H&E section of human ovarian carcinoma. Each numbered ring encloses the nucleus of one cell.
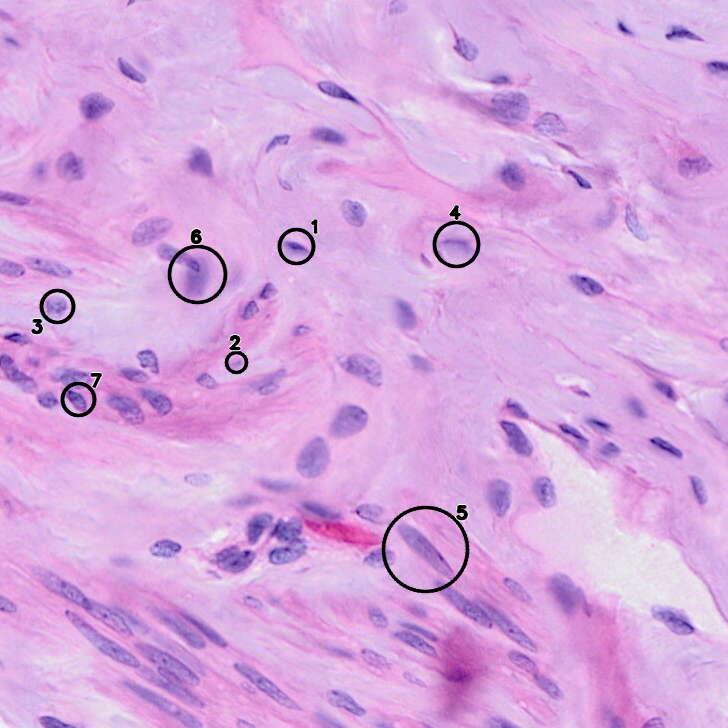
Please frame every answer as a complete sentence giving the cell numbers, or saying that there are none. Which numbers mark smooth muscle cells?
The cells whose numbers are 2, 3, 5 and 7 are smooth muscle cells.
